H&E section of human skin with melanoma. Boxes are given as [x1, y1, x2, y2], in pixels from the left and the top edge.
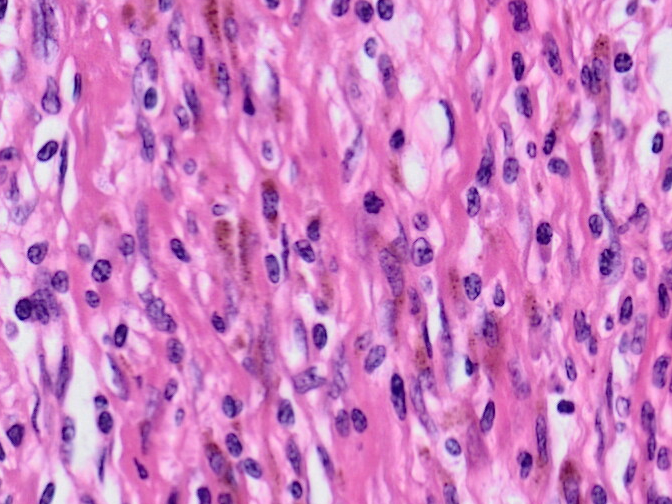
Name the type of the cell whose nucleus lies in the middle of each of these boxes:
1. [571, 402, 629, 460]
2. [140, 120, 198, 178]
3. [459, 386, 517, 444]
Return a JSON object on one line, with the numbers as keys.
{"1": "fibroblast or myofibroblast", "2": "fibroblast or myofibroblast", "3": "lymphocyte"}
